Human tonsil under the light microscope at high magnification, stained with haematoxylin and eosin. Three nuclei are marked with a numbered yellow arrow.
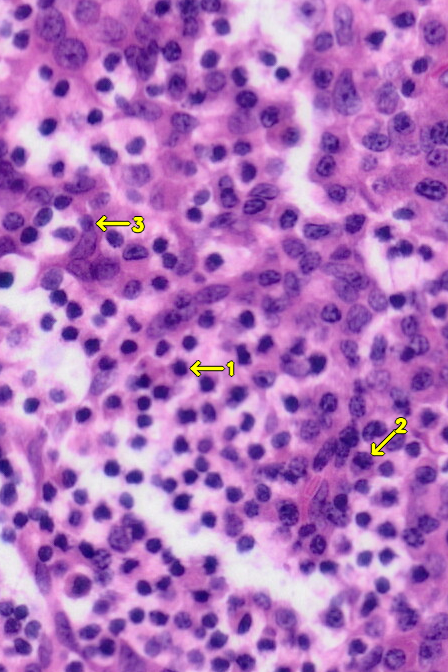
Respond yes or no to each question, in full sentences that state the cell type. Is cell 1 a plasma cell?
Yes, the cell with number 1 is a plasma cell.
